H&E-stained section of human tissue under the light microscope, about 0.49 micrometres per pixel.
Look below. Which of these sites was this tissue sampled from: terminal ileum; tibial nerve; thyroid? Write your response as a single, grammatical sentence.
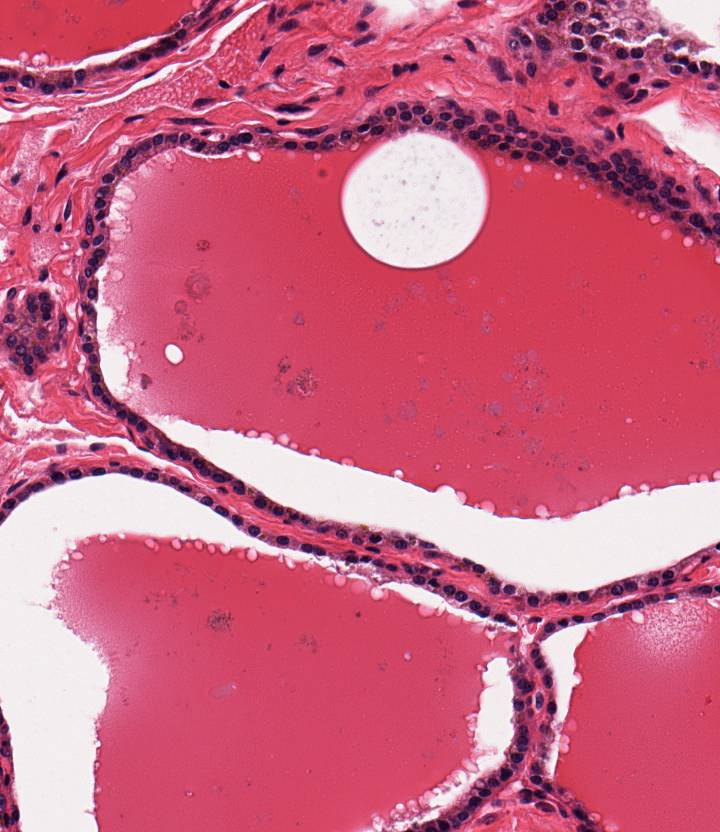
What was sampled is tissue from the thyroid.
